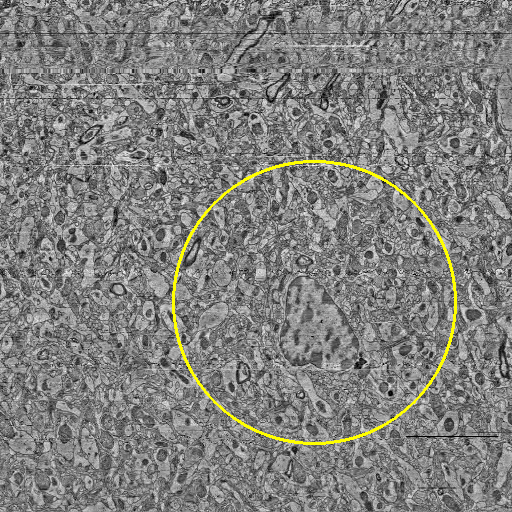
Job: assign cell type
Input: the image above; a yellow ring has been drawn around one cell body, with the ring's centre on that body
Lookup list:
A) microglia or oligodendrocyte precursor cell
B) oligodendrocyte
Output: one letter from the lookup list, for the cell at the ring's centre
A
